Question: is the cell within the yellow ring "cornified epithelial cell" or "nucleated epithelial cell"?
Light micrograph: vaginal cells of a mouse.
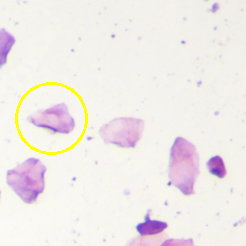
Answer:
cornified epithelial cell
